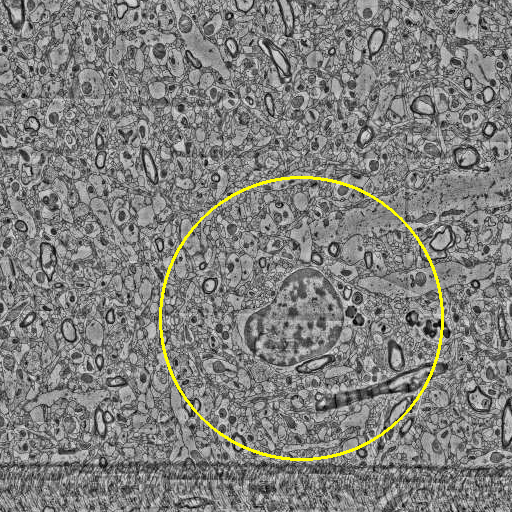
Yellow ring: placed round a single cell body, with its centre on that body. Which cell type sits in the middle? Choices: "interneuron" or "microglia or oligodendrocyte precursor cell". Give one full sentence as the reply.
It is a microglial cell or oligodendrocyte precursor cell whose cell body sits at the centre of the yellow ring.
